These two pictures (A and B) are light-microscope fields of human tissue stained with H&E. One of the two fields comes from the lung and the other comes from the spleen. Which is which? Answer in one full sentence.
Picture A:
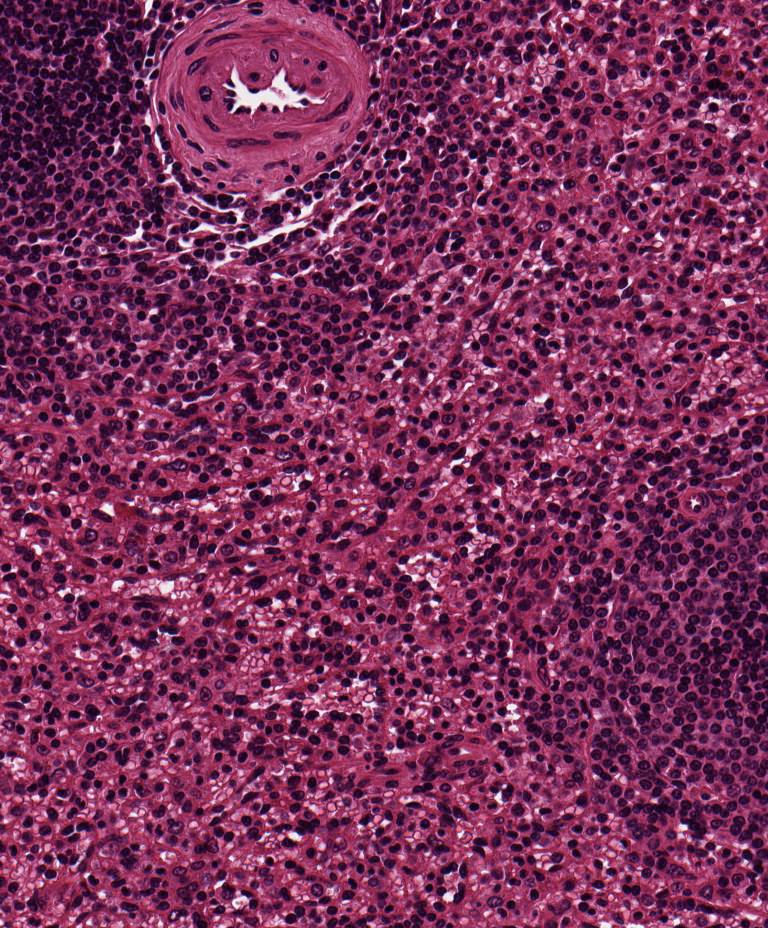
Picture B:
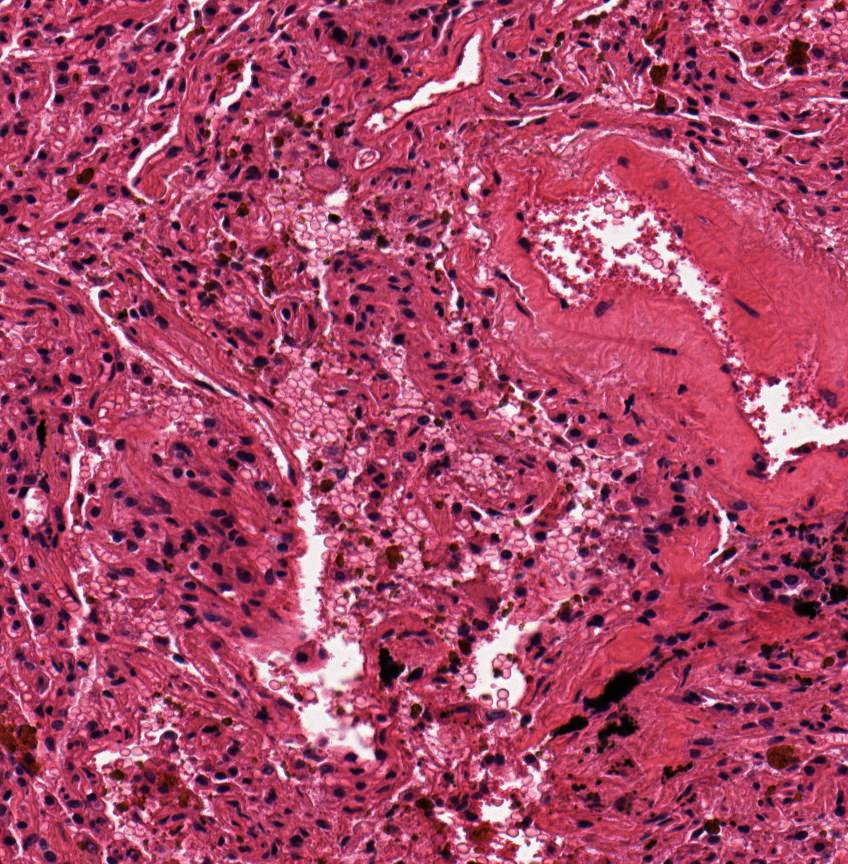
It is picture A that comes from the spleen, and picture B that comes from the lung.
